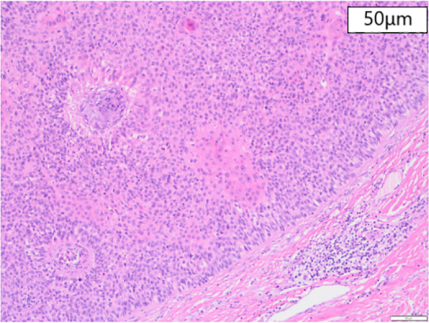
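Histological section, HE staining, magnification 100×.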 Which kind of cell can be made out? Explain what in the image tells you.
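Palisaded cells. At the lower right edge, the tumor cells bordering the fibrous stroma line up side by side in a row. A band of pink fibrous stroma with a vessel lies beside the tumor lobule.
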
